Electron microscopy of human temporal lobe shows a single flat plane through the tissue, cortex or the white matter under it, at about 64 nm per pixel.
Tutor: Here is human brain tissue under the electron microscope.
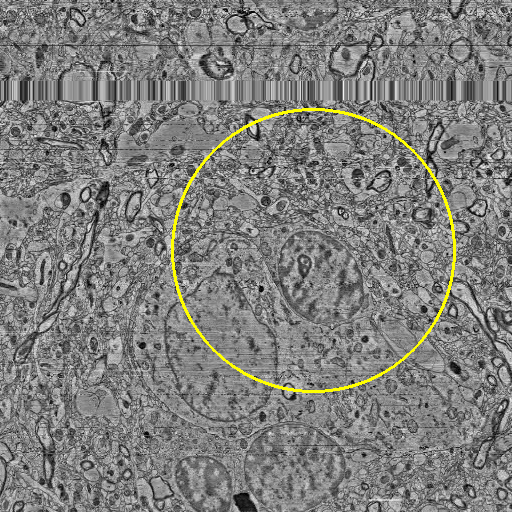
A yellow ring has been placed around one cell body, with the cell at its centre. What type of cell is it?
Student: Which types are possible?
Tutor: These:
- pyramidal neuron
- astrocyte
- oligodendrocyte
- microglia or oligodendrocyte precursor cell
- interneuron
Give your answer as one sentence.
What the ring picks out here is an oligodendrocyte.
